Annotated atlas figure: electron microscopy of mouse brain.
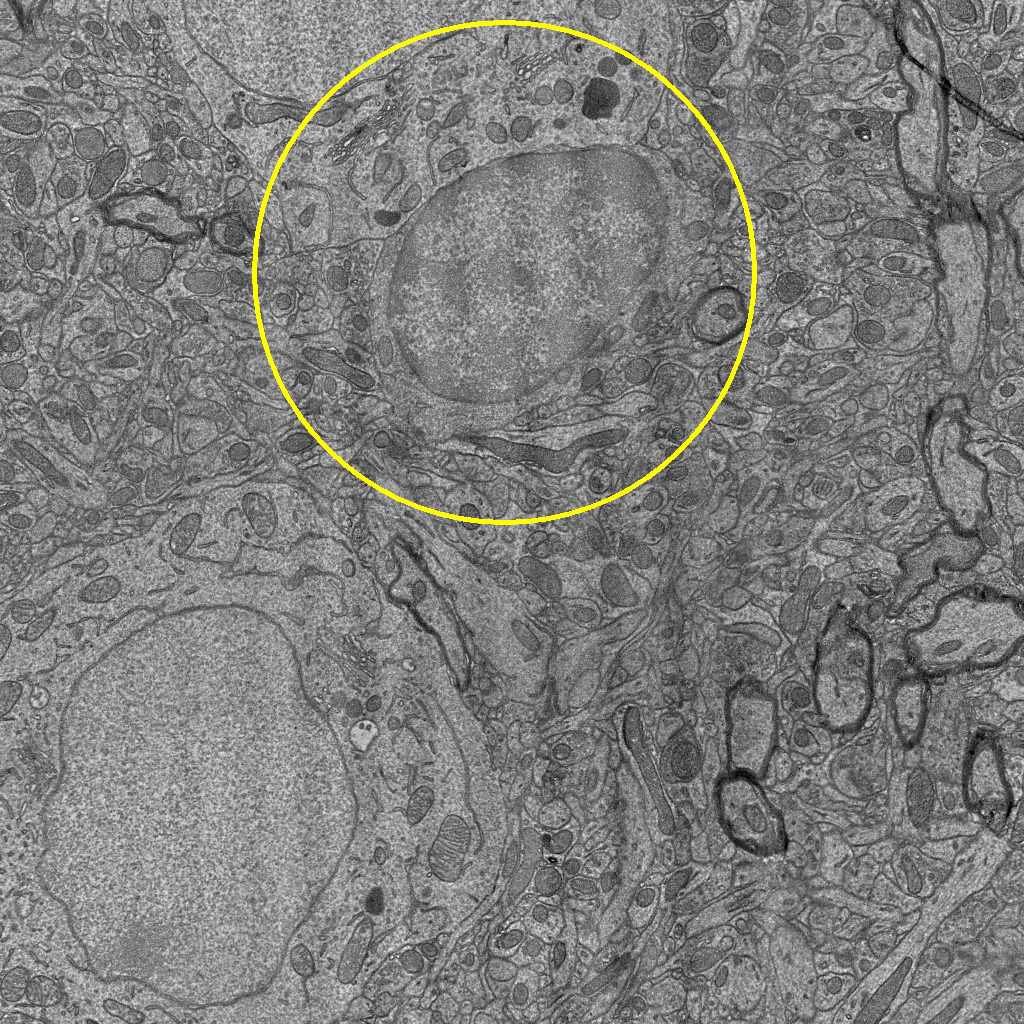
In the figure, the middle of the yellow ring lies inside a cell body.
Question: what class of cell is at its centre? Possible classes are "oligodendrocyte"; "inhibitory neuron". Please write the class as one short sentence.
The yellow ring's centre lies in an oligodendrocyte.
